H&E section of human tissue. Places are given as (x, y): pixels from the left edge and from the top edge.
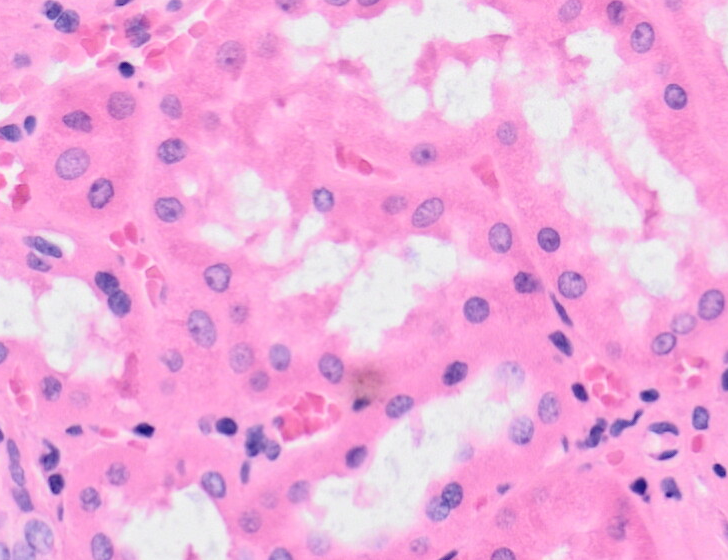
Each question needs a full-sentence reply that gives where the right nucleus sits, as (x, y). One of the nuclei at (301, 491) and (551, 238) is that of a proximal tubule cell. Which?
The nucleus located at (551, 238) is the one held within a proximal tubule cell.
